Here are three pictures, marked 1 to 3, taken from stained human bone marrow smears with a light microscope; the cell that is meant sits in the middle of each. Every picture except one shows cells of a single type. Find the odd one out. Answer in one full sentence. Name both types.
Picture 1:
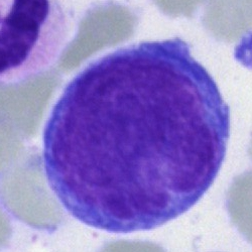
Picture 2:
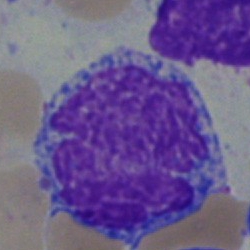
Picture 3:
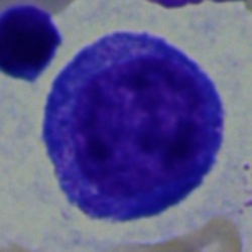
The different one is picture 3; it shows a promyelocyte, whereas all the others show blasts.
